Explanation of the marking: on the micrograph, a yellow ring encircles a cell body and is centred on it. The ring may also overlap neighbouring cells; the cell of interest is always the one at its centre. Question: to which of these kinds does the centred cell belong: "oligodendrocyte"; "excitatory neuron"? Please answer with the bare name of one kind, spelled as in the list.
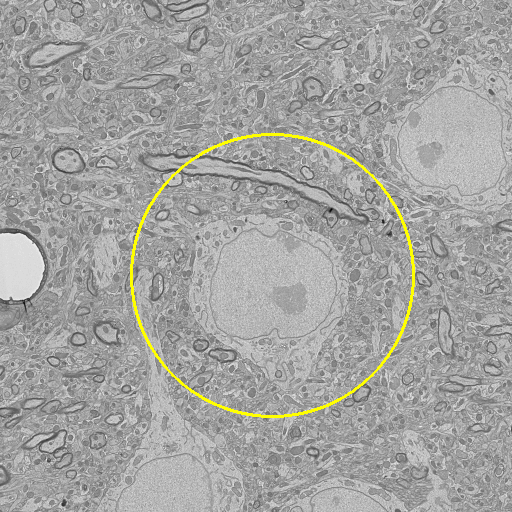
excitatory neuron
